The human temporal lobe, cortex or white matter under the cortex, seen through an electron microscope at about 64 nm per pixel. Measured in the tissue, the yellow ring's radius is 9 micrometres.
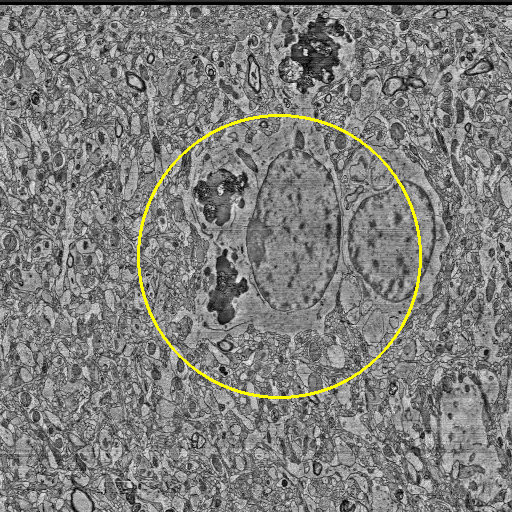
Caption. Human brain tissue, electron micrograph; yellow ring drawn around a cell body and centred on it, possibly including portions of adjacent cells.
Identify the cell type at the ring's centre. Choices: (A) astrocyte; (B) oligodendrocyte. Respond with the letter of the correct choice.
A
